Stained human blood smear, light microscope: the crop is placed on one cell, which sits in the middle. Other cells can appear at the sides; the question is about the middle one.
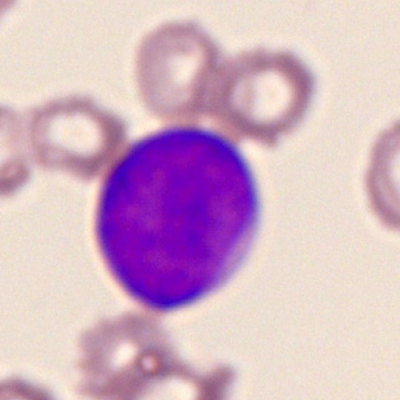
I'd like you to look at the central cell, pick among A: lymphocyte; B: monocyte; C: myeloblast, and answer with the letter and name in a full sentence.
What sits in the middle of the crop is a myeloblast, and option C is correct.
